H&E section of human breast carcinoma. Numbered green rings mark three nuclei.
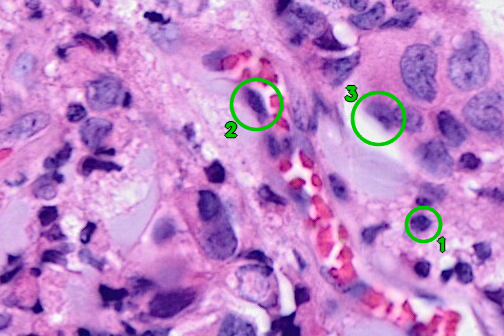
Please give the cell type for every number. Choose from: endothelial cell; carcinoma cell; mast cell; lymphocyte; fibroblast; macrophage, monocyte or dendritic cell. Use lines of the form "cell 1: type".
cell 1: lymphocyte
cell 2: endothelial cell
cell 3: carcinoma cell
